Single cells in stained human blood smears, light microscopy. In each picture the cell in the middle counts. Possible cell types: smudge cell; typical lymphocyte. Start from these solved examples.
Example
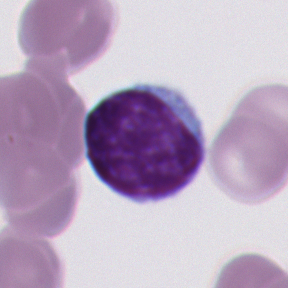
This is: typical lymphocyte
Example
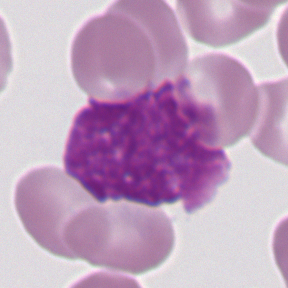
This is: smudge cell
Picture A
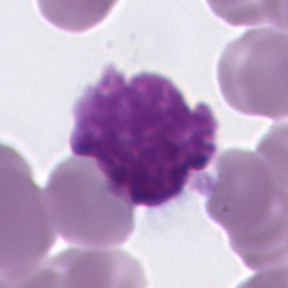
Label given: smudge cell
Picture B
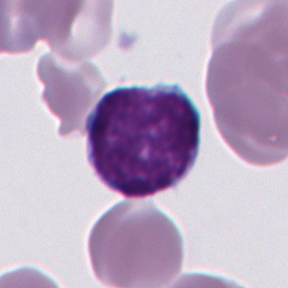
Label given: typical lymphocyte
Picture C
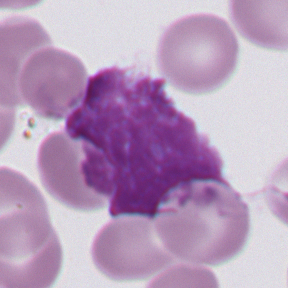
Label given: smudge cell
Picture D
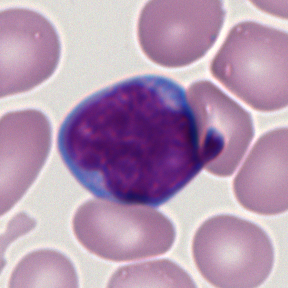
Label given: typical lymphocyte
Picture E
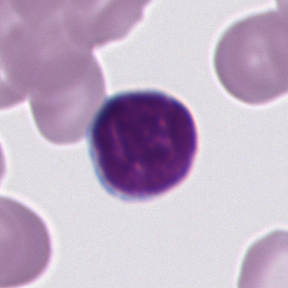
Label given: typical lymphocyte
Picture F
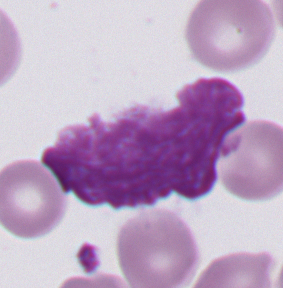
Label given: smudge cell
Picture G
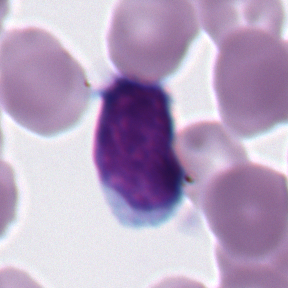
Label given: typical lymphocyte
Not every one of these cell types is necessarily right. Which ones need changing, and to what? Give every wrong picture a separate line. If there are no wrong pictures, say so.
Every label is right.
